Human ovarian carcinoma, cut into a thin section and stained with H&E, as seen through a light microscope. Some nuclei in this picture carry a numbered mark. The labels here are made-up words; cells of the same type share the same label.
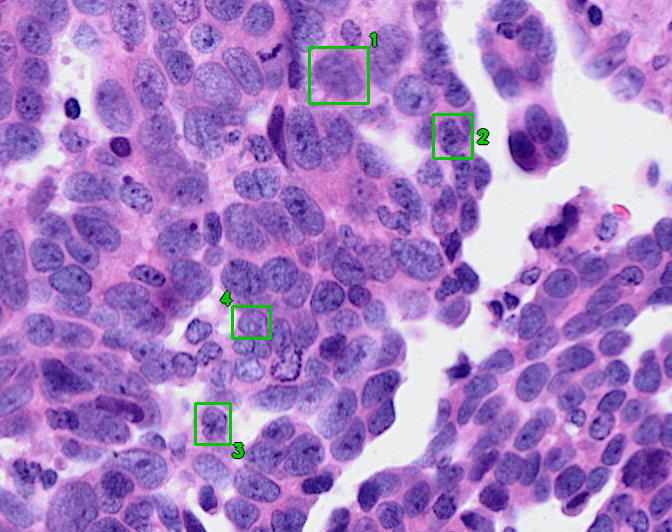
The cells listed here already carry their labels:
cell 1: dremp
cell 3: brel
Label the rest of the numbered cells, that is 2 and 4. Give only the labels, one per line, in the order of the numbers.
dremp
dremp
